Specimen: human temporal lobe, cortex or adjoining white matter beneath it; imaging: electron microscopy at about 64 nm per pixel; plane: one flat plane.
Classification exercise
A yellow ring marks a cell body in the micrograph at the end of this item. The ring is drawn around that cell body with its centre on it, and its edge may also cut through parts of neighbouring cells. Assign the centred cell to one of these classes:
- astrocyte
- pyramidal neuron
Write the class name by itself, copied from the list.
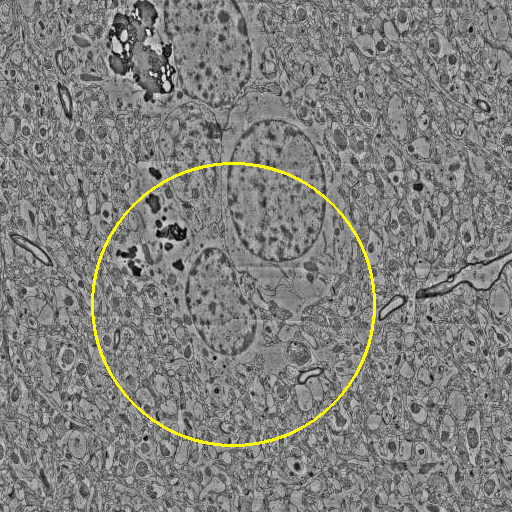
astrocyte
